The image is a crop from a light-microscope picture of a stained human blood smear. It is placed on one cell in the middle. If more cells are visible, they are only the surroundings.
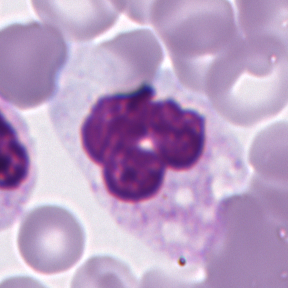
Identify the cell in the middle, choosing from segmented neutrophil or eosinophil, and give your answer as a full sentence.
The middle position in this crop is taken by a segmented neutrophil.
